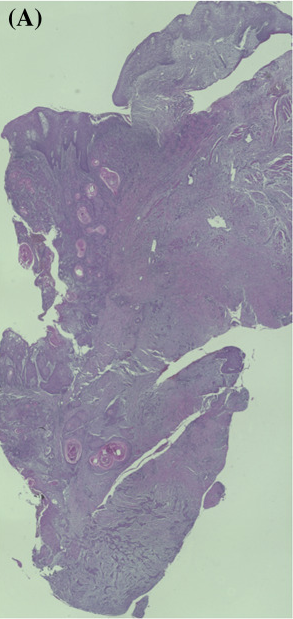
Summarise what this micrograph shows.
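The purple epithelium is thickened and irregular, pushing down into the underlying tissue as tongues and rounded islands. Several of these islands, on the left and lower middle, have bright pink concentric whorls in their centres, the layered keratin typical of squamous nests. Toward the bottom the tissue becomes a more diffuse, streaky mix of pink stroma and scattered purple cells, where tumour spreads among the connective tissue. Individual cells are not resolvable at this scale.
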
